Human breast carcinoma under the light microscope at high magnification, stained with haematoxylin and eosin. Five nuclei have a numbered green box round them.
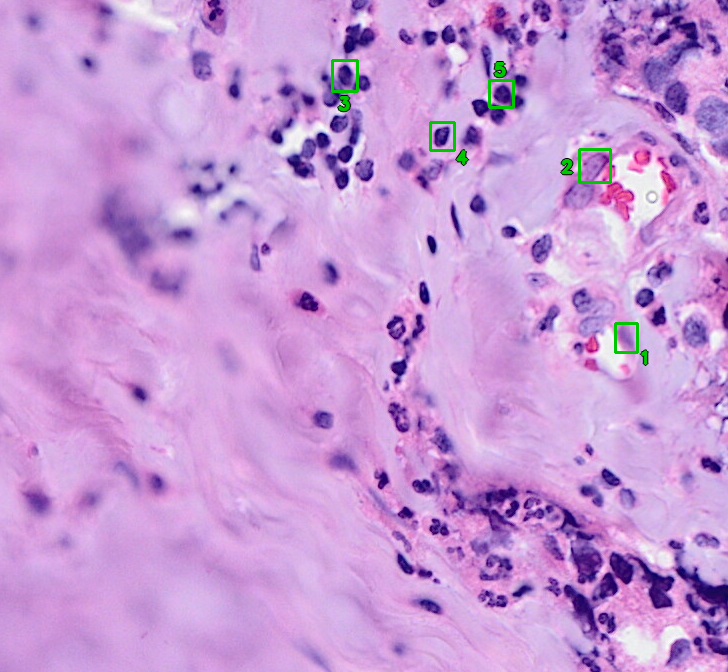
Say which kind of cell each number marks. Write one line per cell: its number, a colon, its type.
1: endothelial cell
2: endothelial cell
3: lymphocyte
4: lymphocyte
5: lymphocyte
